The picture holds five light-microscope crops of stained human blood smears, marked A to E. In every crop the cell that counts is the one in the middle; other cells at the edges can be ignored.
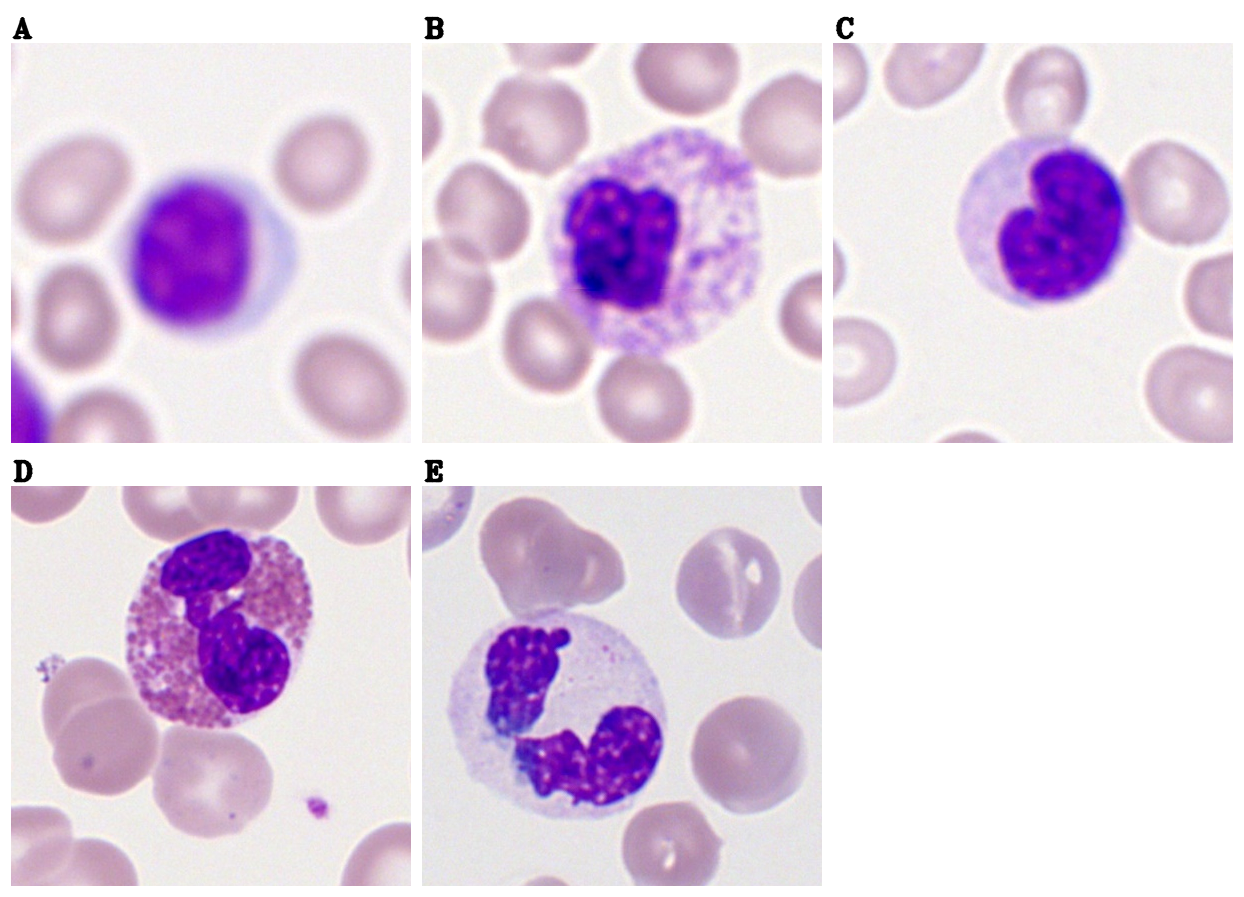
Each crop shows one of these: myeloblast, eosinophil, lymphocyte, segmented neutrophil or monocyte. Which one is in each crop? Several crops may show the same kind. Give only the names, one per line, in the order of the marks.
lymphocyte
segmented neutrophil
lymphocyte
eosinophil
segmented neutrophil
